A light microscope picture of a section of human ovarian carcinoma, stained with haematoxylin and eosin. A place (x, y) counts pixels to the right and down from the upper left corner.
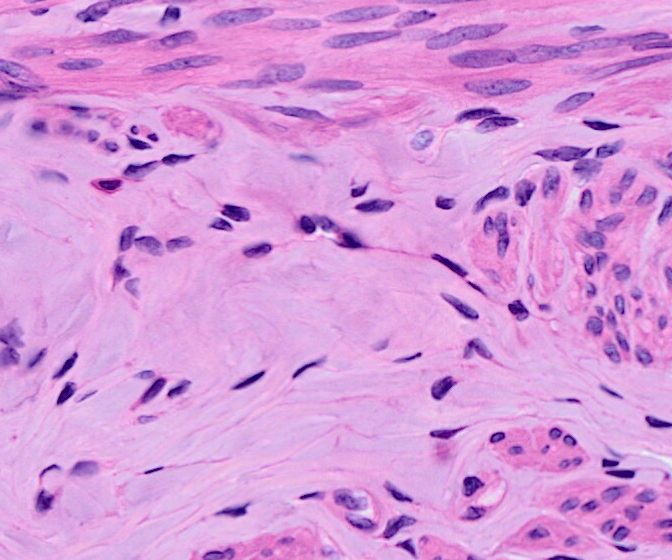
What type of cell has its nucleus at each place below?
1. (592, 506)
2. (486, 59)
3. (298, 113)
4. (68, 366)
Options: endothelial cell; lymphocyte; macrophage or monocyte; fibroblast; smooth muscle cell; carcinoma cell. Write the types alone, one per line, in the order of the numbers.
smooth muscle cell
smooth muscle cell
smooth muscle cell
fibroblast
